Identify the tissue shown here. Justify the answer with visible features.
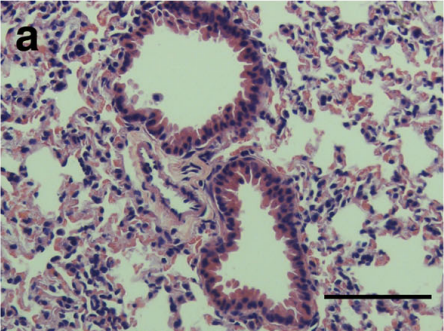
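Two airways lined by a single layer of epithelial cells.
Lungs.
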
